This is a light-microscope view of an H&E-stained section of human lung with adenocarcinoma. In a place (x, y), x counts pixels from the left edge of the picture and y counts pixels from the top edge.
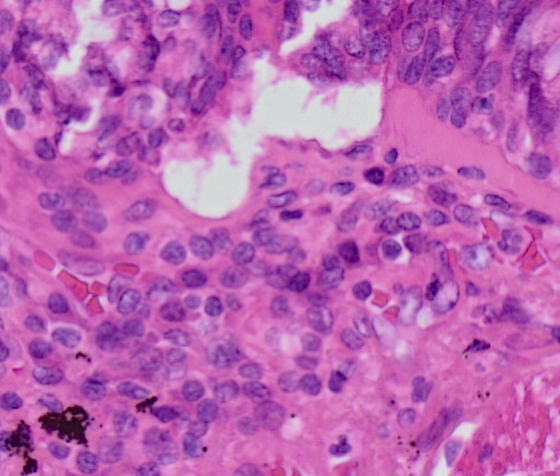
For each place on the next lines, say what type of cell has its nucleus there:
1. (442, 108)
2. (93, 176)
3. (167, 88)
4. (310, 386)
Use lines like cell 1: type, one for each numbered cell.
cell 1: ciliated epithelial cell
cell 2: ciliated epithelial cell
cell 3: ciliated epithelial cell
cell 4: lymphocyte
